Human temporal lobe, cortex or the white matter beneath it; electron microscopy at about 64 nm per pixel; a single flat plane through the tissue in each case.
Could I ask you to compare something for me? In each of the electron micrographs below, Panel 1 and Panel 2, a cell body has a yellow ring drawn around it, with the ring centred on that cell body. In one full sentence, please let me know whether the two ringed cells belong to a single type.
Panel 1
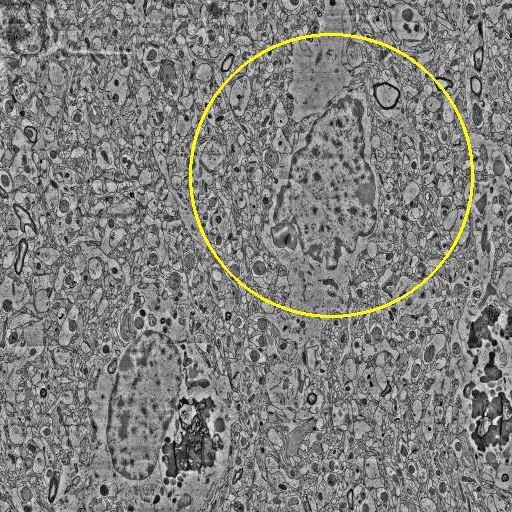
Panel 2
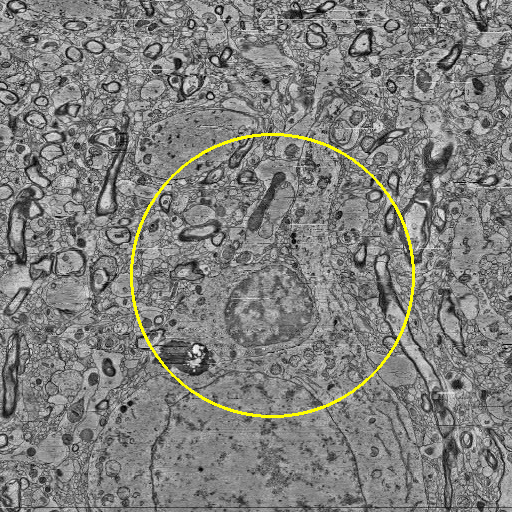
No, the two cells at the centres of the rings are of two types.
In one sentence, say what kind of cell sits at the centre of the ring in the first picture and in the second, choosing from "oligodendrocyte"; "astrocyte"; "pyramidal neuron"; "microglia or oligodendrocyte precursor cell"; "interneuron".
The first picture's ringed cell is a microglial cell or oligodendrocyte precursor cell, while the second picture's is an oligodendrocyte.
